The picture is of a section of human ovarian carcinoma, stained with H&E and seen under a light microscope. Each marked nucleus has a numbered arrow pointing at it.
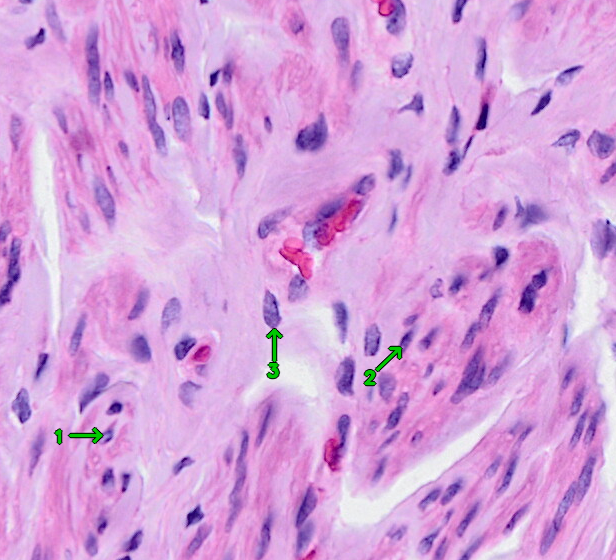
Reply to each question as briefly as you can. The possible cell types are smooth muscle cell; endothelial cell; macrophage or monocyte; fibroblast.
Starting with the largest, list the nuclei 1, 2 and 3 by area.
3, 2, 1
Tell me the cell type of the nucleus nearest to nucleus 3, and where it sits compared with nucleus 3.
an endothelial cell, above and to the right of nucleus 3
